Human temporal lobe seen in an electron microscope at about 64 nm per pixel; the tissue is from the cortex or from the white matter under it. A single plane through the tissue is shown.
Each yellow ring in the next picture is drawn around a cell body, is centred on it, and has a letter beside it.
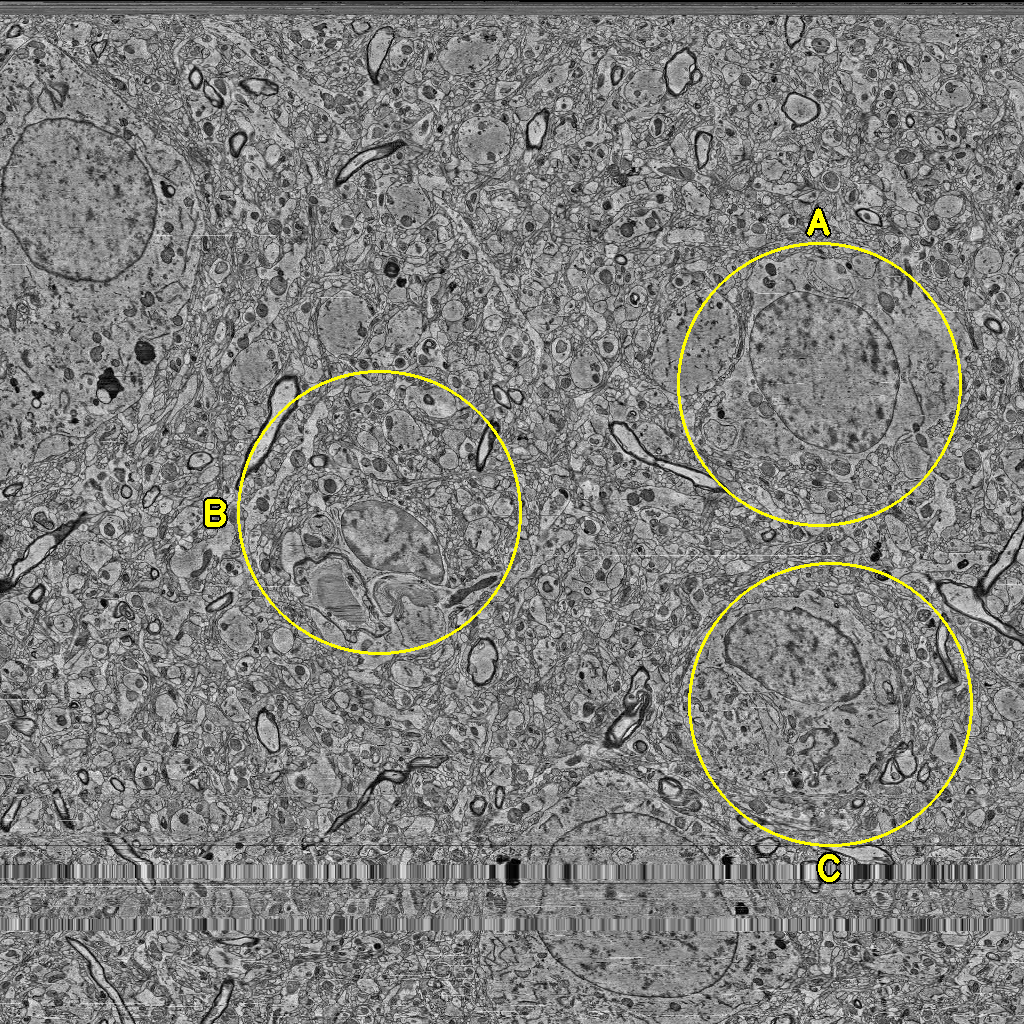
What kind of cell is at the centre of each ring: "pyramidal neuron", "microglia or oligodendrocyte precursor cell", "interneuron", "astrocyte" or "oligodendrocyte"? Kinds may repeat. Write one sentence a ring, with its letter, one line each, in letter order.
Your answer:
The centre of ring A falls on an astrocyte.
The centre of ring B falls on a microglial cell or oligodendrocyte precursor cell.
The centre of ring C falls on a microglial cell or oligodendrocyte precursor cell.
